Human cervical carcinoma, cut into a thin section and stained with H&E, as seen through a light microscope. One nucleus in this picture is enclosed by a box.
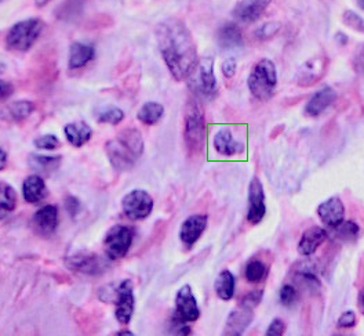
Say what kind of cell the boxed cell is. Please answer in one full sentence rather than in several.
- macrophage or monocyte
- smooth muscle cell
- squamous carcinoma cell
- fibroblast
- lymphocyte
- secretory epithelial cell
Recorded by type, the boxed cell is a lymphocyte.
